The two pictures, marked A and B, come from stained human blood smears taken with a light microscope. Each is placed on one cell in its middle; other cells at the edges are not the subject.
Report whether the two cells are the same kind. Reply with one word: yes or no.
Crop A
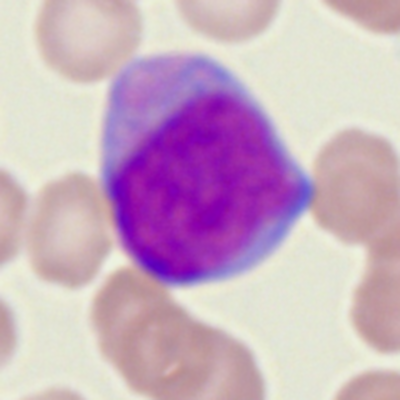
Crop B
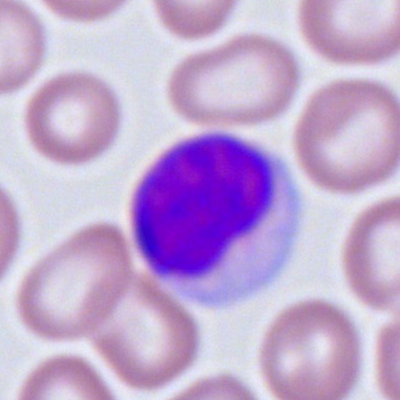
no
